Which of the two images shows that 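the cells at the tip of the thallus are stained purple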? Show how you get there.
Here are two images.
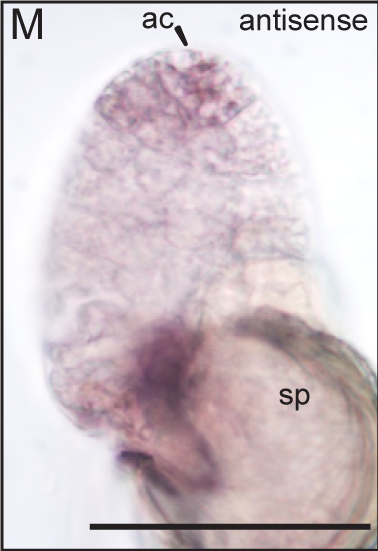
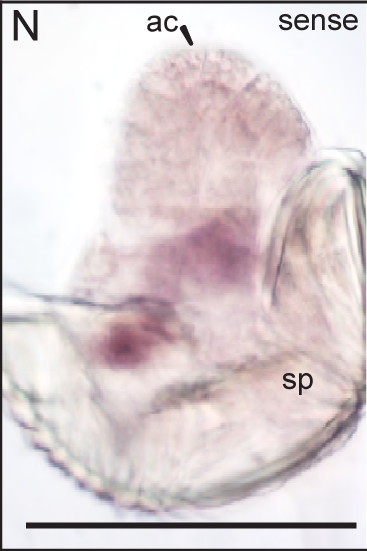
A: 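Second image: the cells at the tip are pale, with only a faint tint. First image: the cells at the tip are clearly stained purple.
The first image.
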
